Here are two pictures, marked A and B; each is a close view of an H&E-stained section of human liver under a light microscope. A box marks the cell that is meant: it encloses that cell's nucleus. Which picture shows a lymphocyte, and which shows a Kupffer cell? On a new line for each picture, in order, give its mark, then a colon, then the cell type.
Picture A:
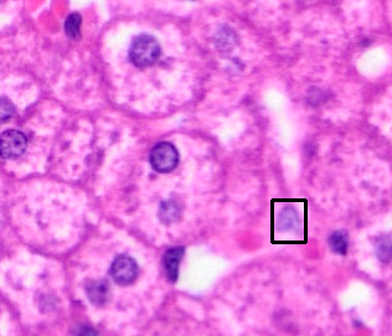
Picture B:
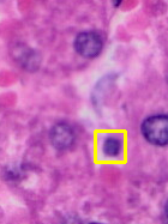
A: Kupffer cell
B: lymphocyte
